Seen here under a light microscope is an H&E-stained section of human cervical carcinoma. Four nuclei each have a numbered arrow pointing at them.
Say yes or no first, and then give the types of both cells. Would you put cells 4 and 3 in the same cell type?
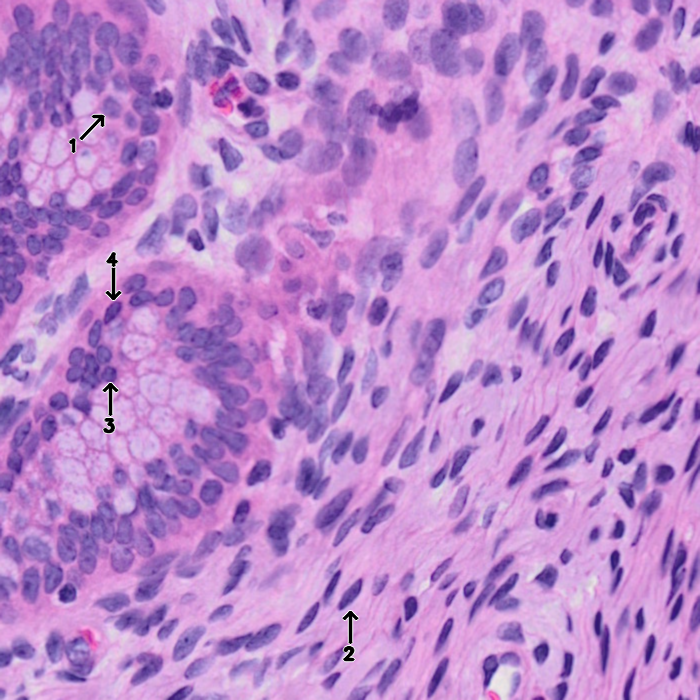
Yes, cells 4 and 3 are both classed as secretory epithelial cells.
